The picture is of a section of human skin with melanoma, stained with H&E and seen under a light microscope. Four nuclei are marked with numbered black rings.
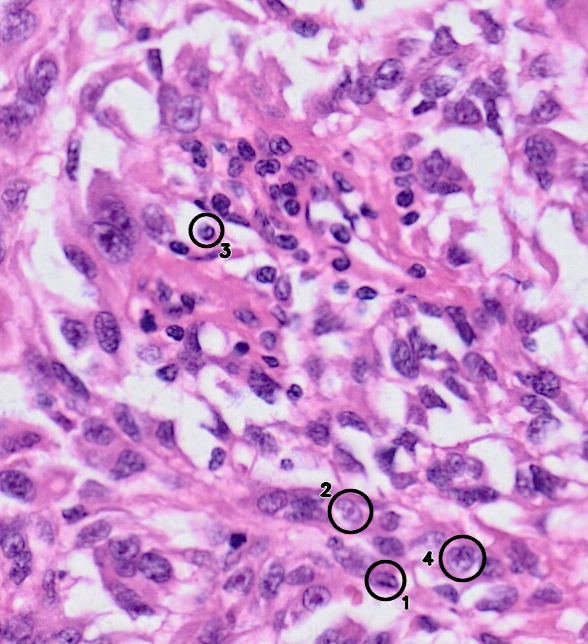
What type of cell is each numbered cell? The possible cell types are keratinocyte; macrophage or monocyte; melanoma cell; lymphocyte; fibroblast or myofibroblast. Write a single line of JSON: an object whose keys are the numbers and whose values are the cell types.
{"1": "melanoma cell", "2": "melanoma cell", "3": "lymphocyte", "4": "melanoma cell"}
